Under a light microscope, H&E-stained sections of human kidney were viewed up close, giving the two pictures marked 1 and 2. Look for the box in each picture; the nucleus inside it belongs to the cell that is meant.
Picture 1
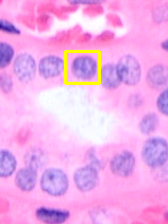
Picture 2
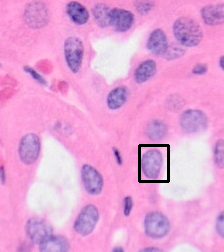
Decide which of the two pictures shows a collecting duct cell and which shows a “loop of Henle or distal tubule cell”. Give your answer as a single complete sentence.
It is picture 1 that shows a collecting duct cell, and picture 2 that shows a “loop of Henle or distal tubule cell”.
